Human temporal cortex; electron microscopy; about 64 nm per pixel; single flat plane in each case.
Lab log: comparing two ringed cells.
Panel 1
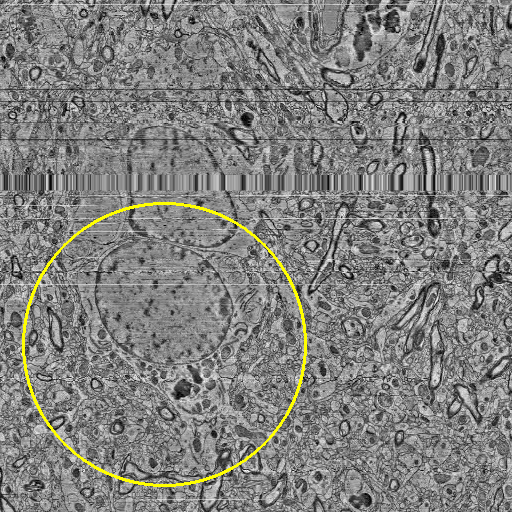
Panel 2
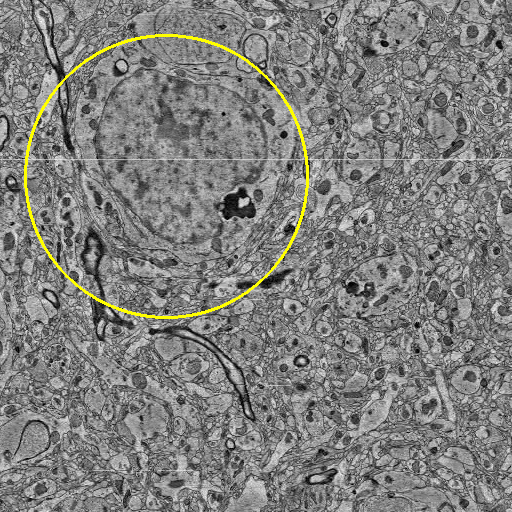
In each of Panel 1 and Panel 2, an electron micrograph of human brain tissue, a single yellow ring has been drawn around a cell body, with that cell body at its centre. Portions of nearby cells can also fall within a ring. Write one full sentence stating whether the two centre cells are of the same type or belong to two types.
The cells at the ring centres in Panel 1 and Panel 2 belong to two types.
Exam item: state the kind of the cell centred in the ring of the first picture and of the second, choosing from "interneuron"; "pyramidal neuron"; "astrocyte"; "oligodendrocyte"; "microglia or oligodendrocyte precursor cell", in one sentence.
The first picture shows an astrocyte at the ring centre and the second shows an interneuron.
